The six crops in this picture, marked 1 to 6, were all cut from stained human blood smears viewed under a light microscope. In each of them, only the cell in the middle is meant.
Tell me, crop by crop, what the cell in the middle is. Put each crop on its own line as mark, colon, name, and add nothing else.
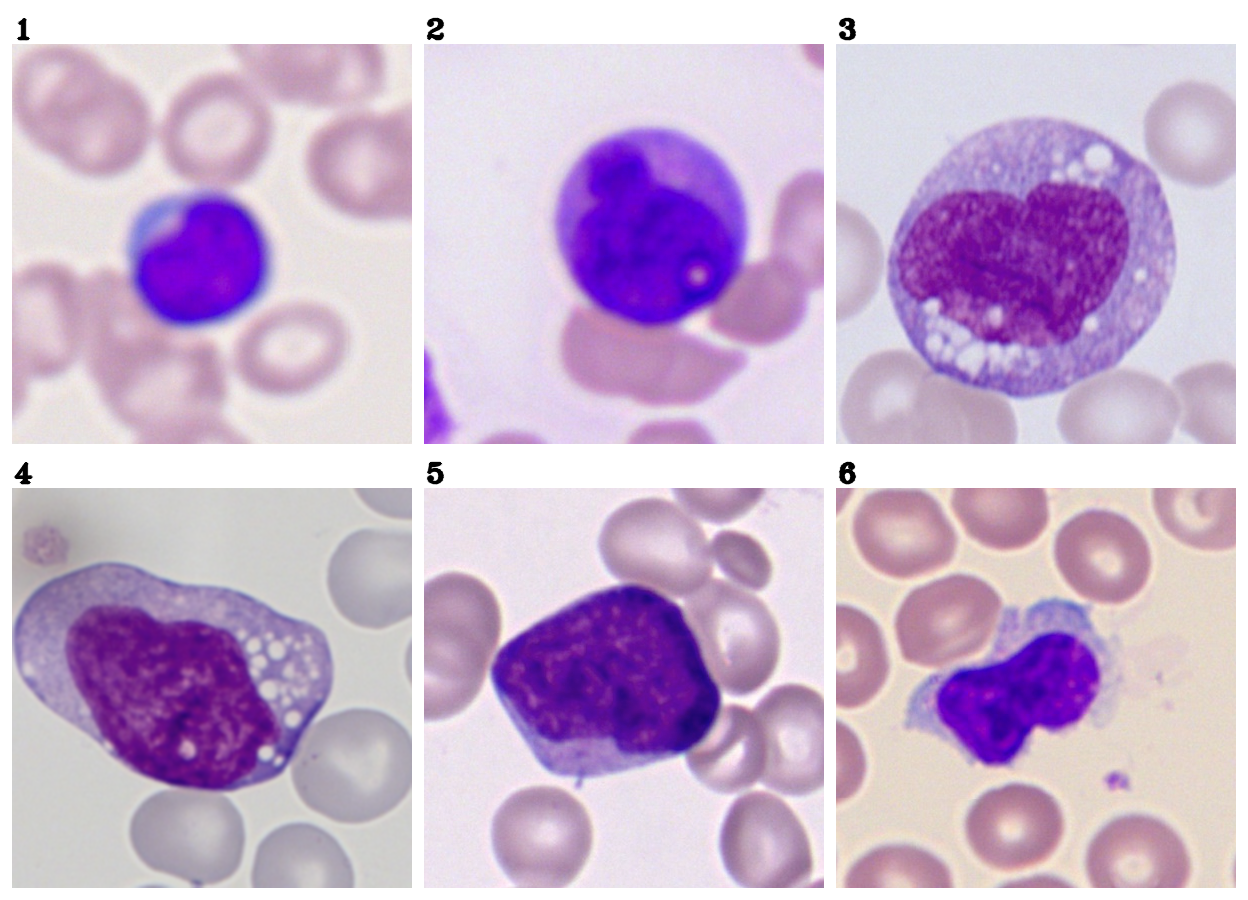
1: lymphocyte
2: blast
3: monocyte
4: monocyte
5: blast
6: lymphocyte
